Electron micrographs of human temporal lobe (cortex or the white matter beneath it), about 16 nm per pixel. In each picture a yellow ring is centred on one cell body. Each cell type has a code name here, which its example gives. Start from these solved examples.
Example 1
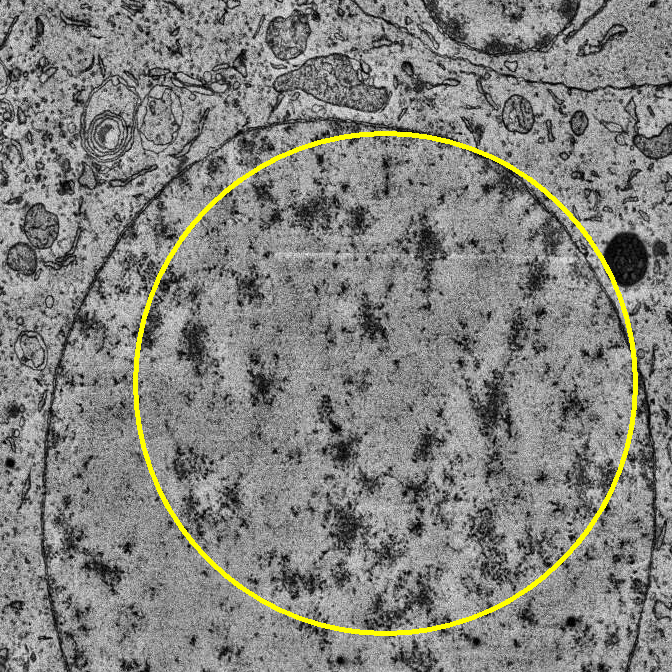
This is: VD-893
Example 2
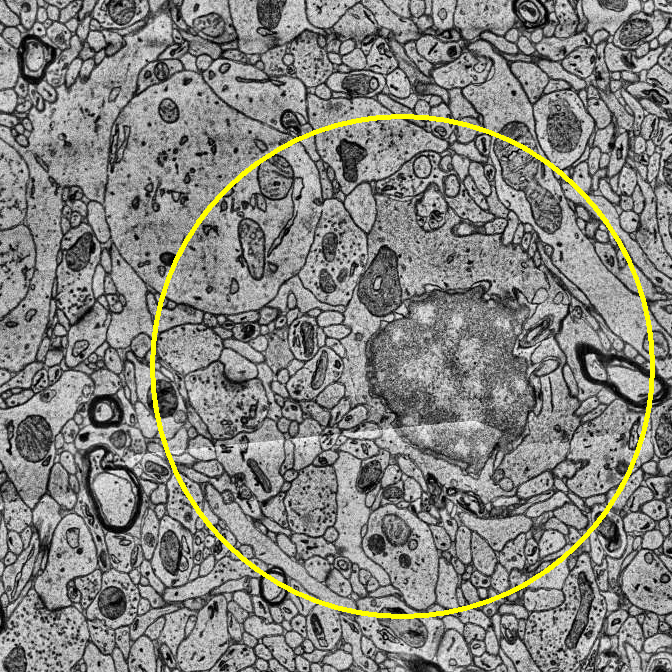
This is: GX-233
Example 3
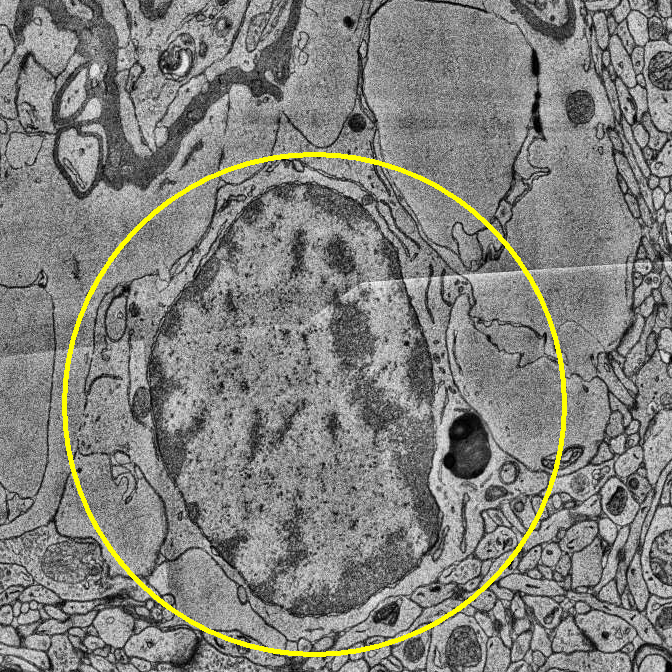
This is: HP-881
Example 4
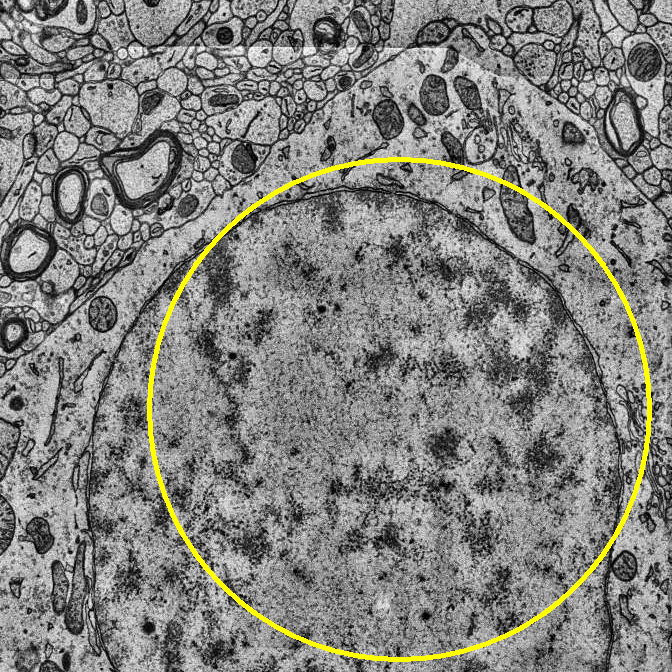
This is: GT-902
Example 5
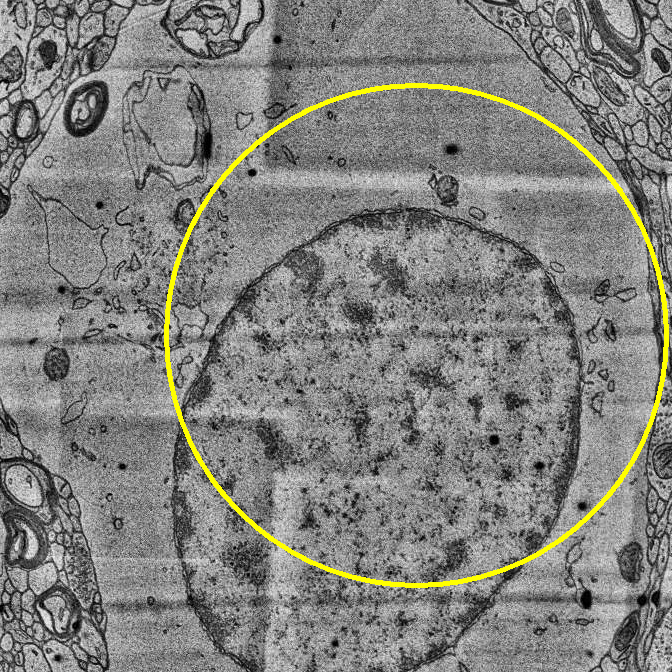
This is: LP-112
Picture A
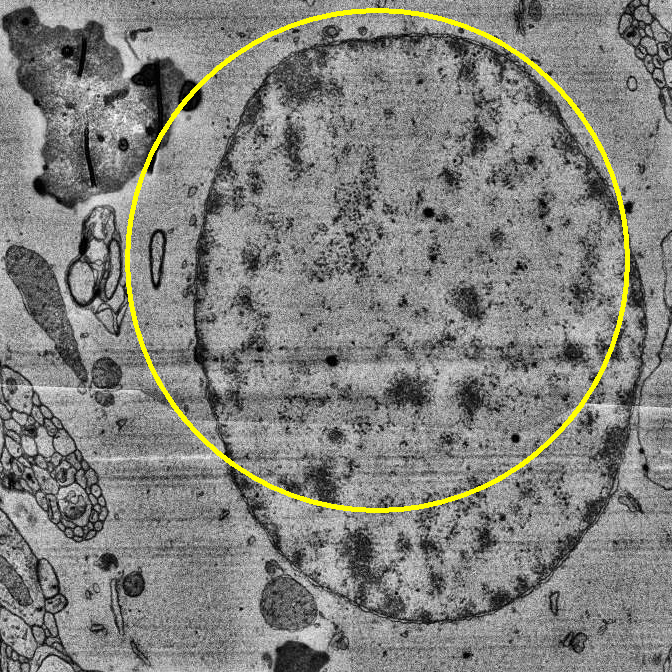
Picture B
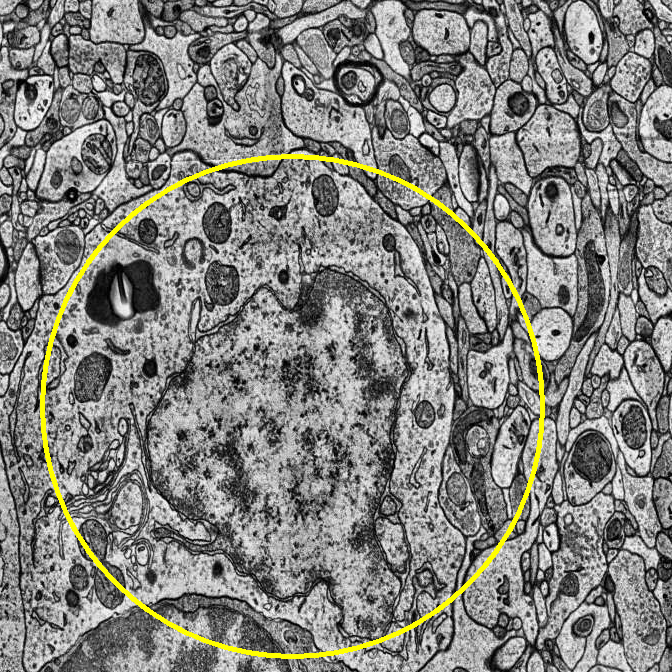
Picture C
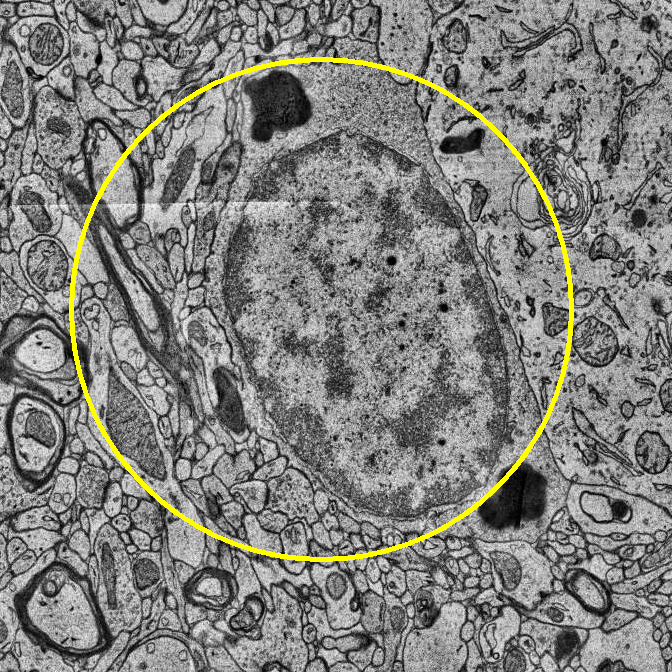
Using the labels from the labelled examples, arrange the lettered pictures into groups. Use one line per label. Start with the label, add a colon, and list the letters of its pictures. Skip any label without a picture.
GX-233: C
GT-902: B
LP-112: A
